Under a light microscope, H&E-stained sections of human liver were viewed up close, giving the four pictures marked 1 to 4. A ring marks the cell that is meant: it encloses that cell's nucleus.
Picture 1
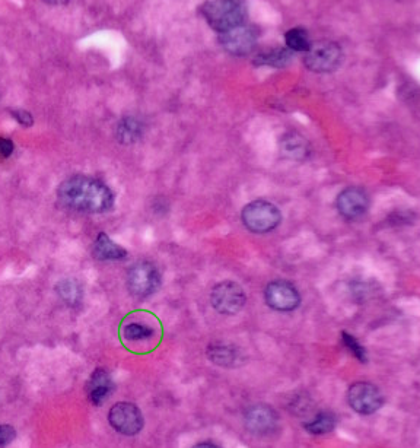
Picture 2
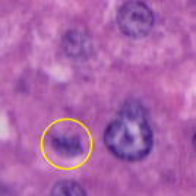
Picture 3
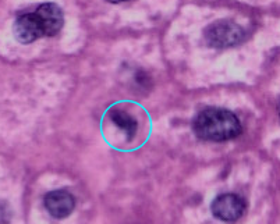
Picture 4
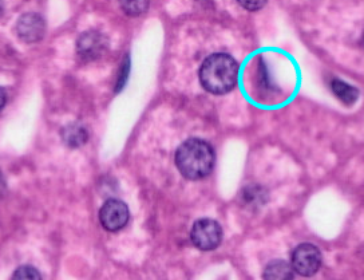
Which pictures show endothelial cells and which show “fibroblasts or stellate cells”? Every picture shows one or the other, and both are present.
1: fibroblast or stellate cell
2: endothelial cell
3: endothelial cell
4: endothelial cell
